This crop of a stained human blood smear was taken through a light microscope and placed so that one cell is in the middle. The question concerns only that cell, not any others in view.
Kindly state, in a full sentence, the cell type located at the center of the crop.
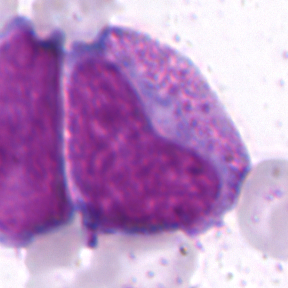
This crop's central cell is a promyelocyte.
